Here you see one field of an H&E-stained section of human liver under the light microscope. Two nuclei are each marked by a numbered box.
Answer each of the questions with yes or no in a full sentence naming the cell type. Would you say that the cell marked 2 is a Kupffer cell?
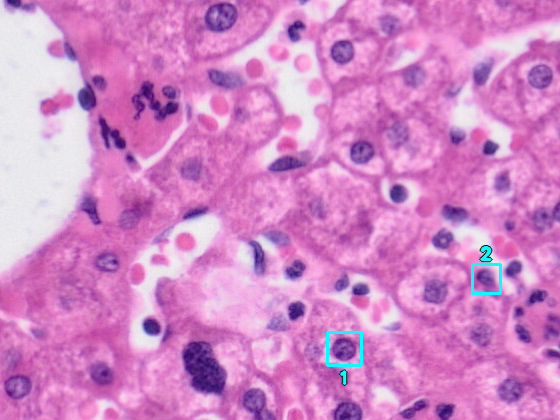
Yes, the cell indicated by number 2 is a Kupffer cell.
